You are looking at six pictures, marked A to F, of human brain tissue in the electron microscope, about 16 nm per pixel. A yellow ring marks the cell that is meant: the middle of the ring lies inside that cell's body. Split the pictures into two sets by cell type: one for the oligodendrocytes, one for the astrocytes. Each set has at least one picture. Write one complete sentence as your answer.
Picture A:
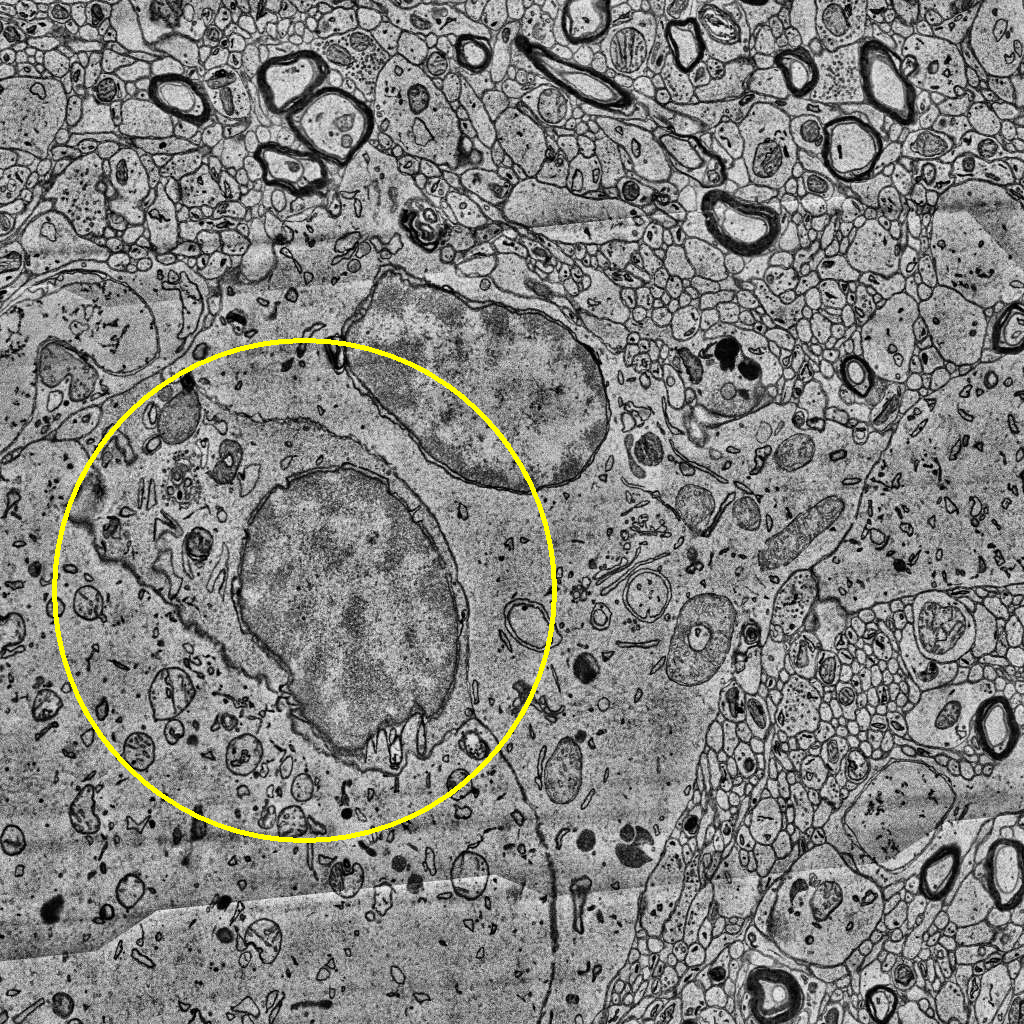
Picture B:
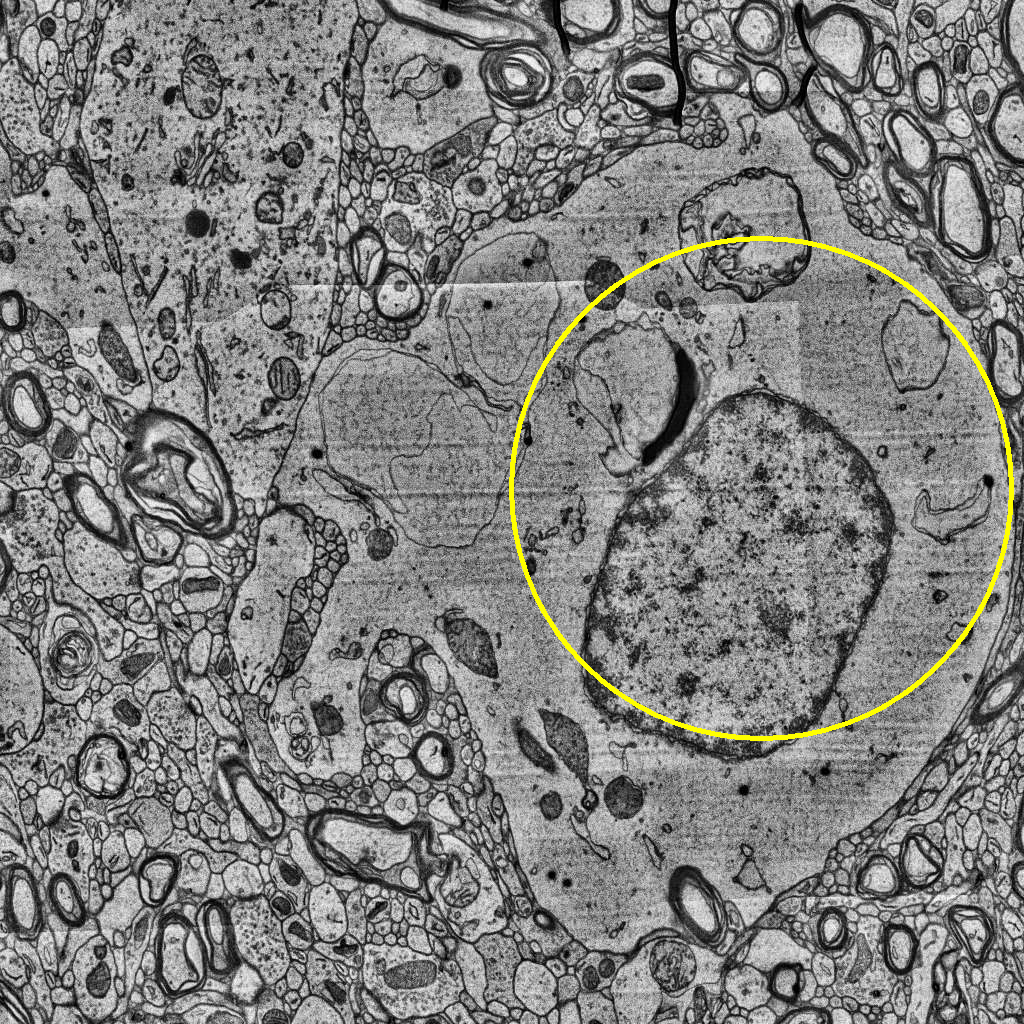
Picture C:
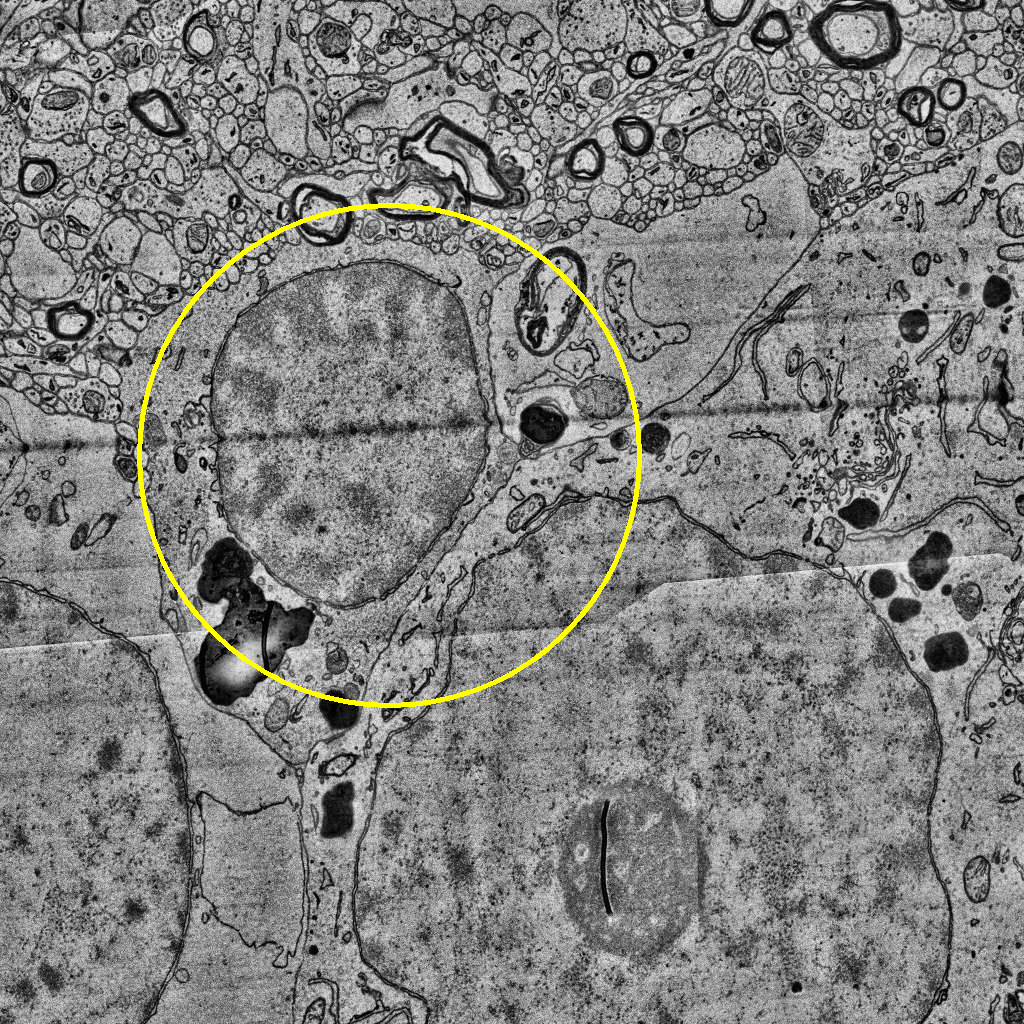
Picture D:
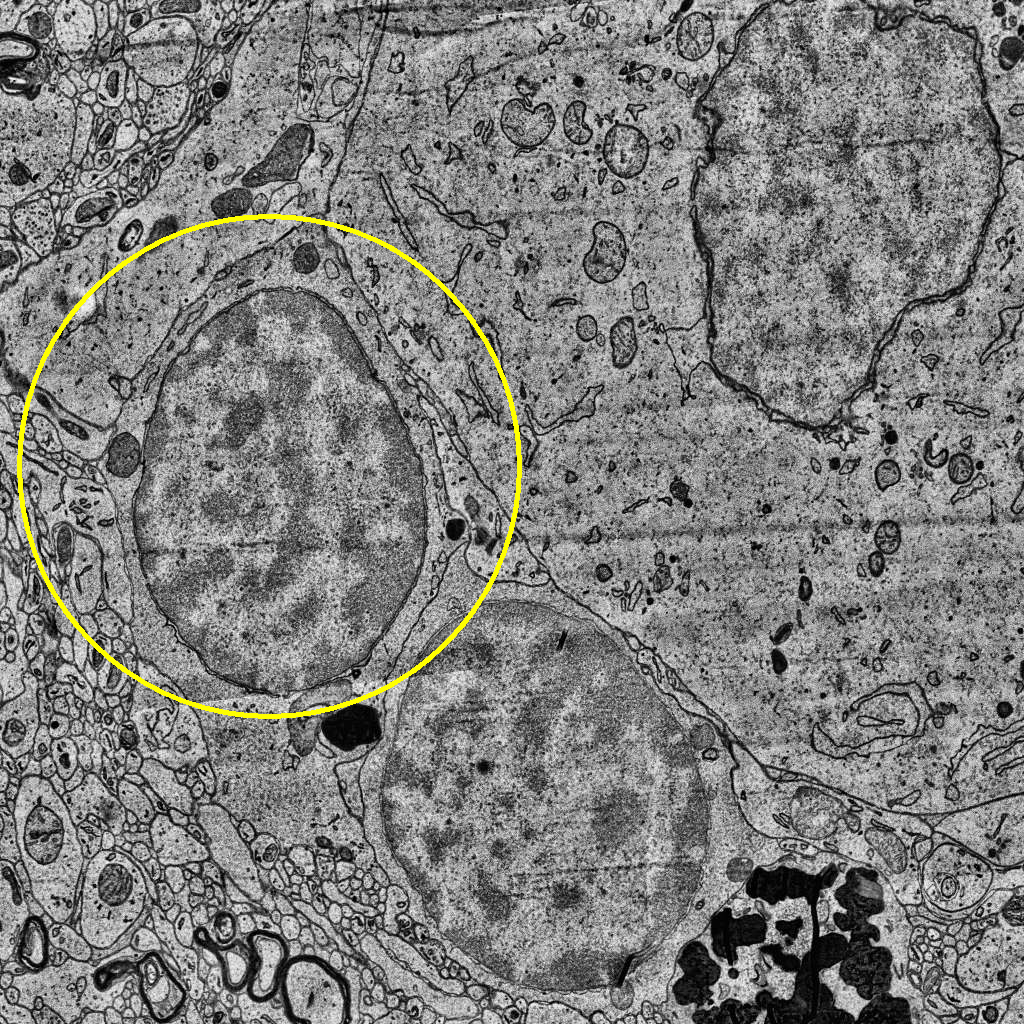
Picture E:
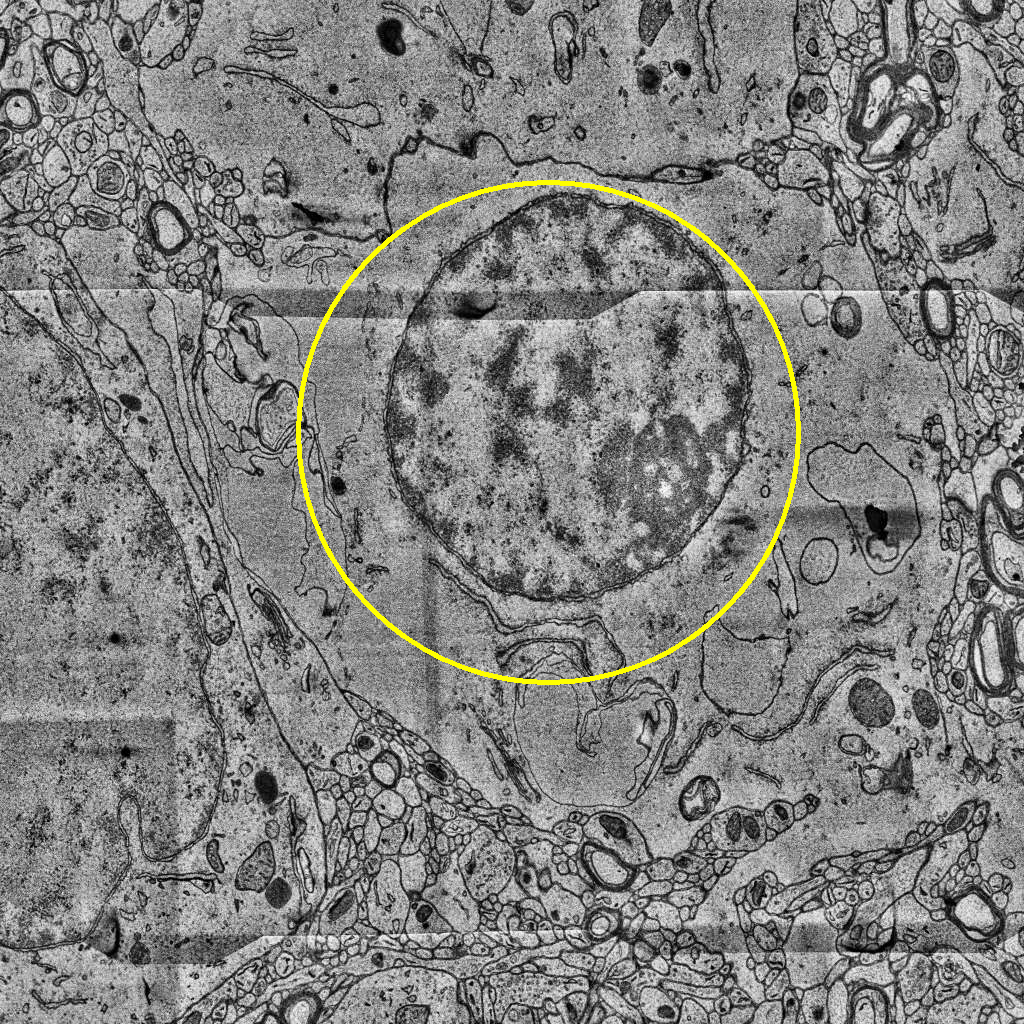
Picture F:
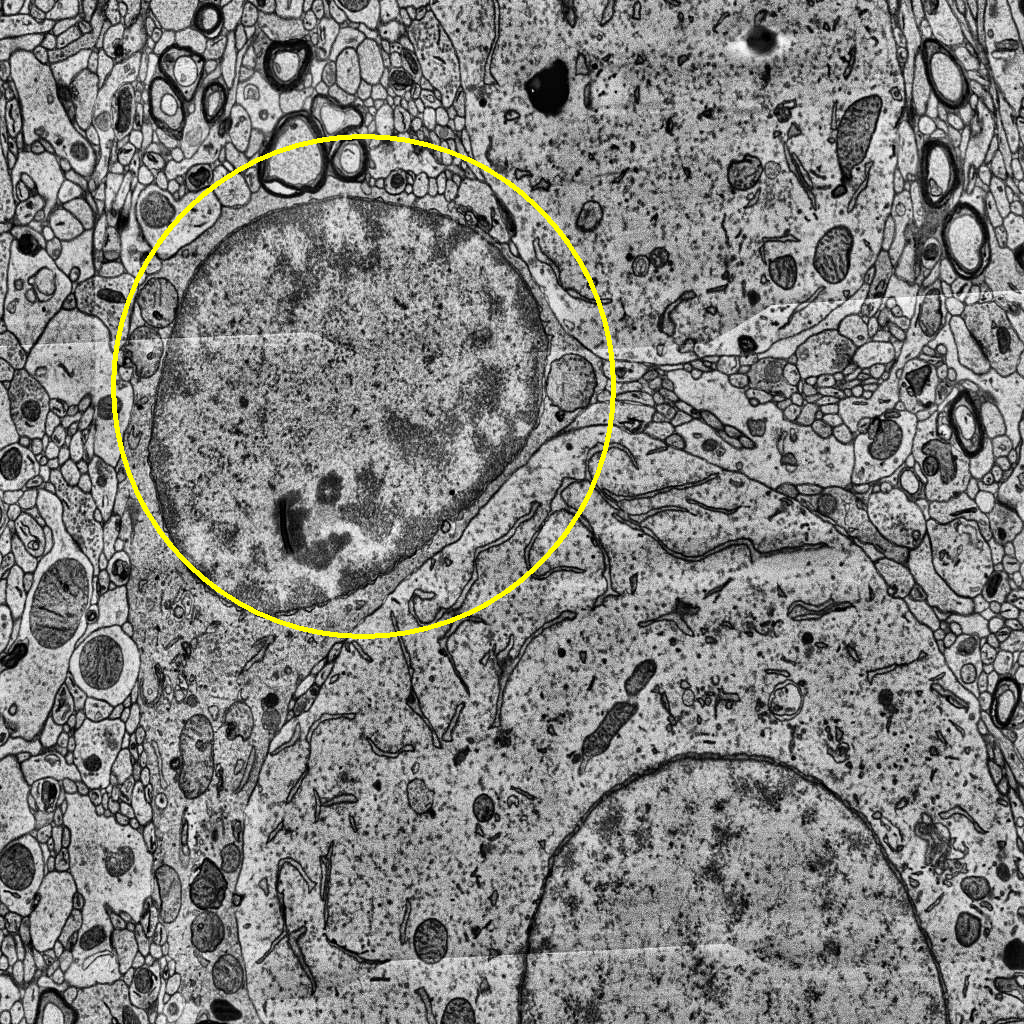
Pictures A, C, D and F show oligodendrocytes, while pictures B and E show astrocytes.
